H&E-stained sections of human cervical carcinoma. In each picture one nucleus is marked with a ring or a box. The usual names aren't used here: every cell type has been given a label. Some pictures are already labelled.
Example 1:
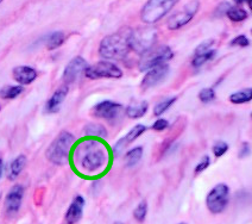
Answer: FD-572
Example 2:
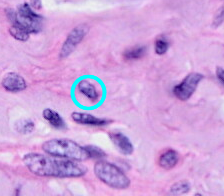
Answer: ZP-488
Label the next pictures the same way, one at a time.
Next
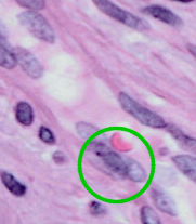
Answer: FD-572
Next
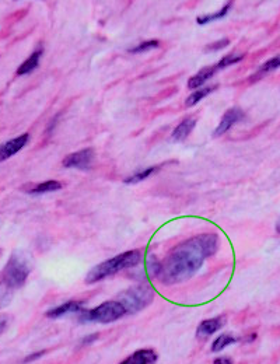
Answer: FD-572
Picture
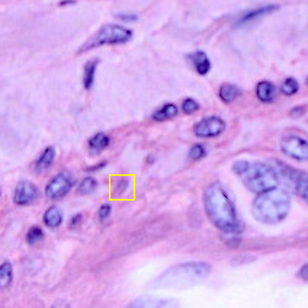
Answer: ZP-488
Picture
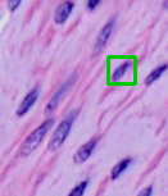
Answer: ZP-488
